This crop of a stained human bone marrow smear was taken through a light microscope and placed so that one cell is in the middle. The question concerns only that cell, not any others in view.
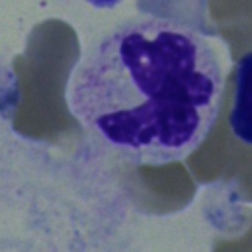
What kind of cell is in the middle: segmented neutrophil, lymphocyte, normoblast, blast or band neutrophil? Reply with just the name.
segmented neutrophil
